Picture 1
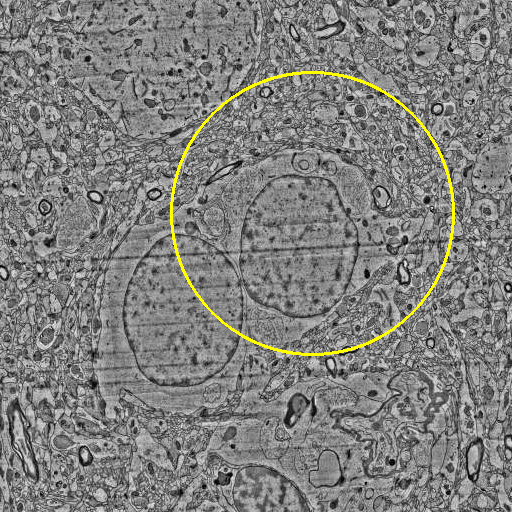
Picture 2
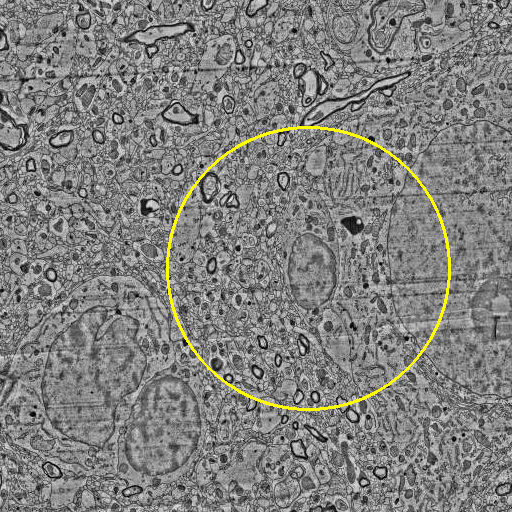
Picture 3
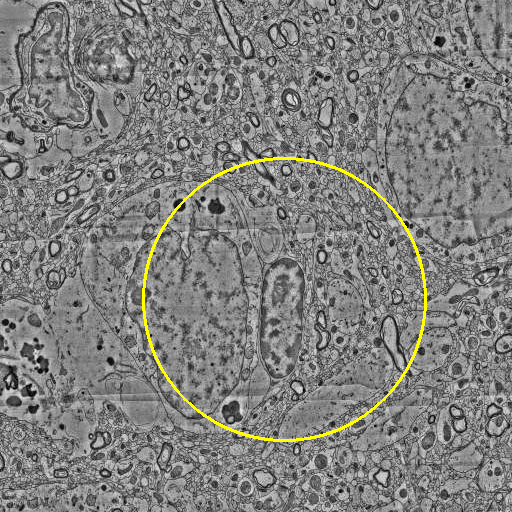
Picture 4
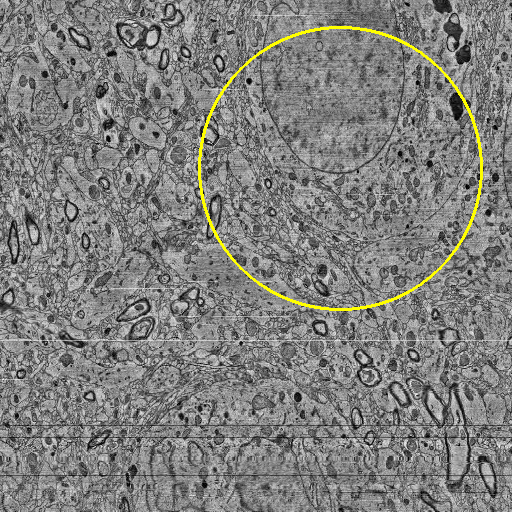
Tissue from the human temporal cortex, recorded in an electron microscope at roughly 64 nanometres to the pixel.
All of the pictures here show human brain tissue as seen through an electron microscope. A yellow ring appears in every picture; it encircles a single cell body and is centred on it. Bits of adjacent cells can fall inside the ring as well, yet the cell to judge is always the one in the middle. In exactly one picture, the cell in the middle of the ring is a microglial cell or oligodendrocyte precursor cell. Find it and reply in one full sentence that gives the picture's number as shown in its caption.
Of all the pictures, picture 3 has the right cell at the centre of its ring.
